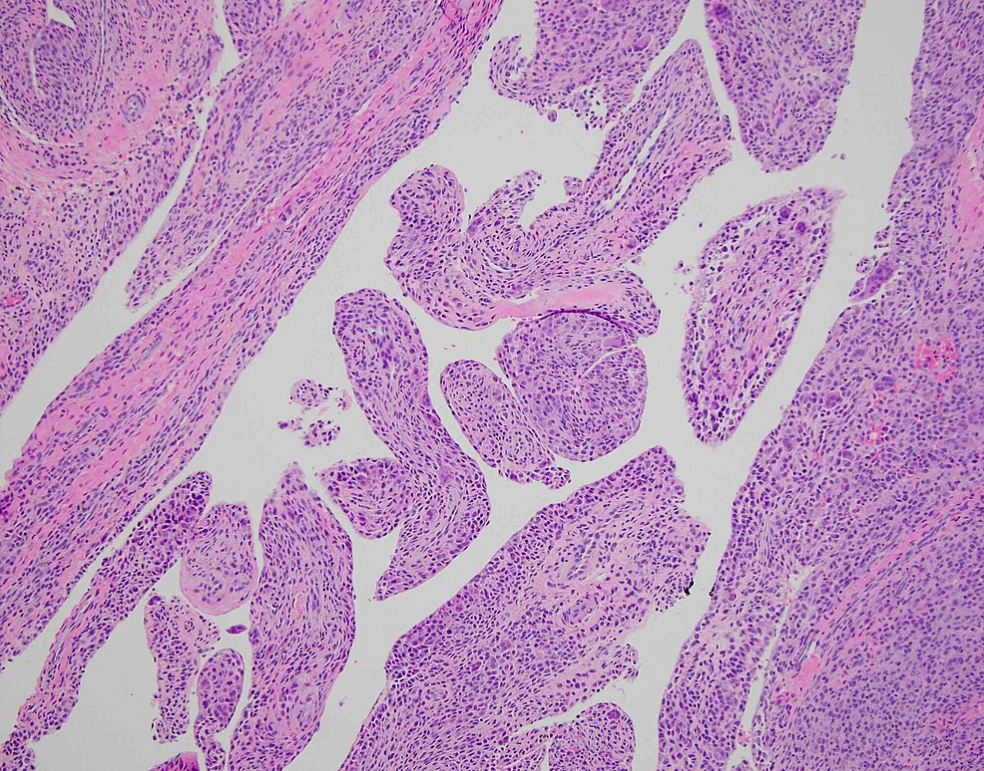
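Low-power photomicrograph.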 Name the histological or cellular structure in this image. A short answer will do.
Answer: villous architecture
